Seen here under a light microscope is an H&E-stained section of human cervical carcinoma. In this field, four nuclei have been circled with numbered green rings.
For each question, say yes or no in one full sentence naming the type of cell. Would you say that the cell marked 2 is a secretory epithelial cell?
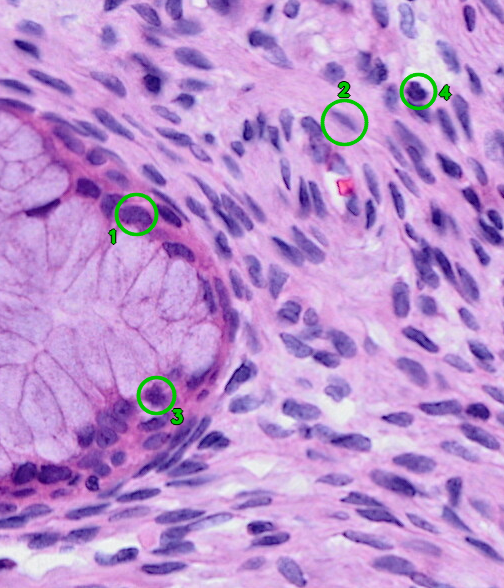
No, rather than a secretory epithelial cell, cell number 2 is a fibroblast.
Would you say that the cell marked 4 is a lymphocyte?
Yes, the cell sitting at number 4 is a lymphocyte.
